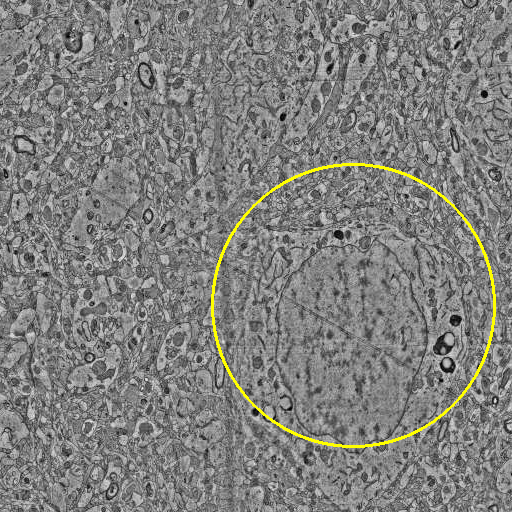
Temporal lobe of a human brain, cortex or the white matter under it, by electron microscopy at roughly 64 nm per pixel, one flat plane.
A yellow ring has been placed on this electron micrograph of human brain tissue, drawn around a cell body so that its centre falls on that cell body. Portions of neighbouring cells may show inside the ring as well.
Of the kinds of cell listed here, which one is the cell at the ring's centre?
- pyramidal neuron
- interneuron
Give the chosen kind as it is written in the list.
pyramidal neuron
